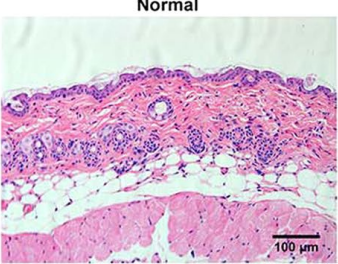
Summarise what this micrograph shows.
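A section of skin with a thin purple epidermis of only a few cell layers lying flat over a pink, fibrous dermis. Hair follicles and small clusters of sebaceous gland cells with pale cytoplasm sit in the dermis. Below lies a band of white, empty-looking fat cells and, at the bottom, a layer of pink skeletal muscle fibres.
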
